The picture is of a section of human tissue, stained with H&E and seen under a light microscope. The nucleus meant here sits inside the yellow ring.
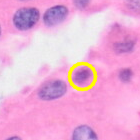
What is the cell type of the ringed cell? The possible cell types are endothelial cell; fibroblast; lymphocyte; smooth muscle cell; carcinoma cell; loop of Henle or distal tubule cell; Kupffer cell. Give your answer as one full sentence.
The correct response here is that the ringed cell is a loop of Henle or distal tubule cell.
